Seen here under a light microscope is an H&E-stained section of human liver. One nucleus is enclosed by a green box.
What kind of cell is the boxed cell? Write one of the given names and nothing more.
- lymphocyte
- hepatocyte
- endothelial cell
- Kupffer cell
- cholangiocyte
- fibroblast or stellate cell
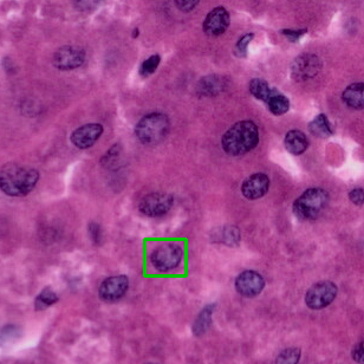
hepatocyte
